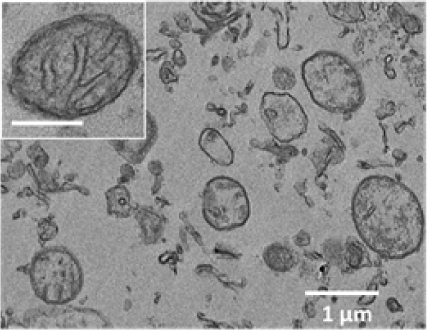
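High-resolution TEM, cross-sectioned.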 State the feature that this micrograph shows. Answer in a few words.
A: Intact inner and outer membranes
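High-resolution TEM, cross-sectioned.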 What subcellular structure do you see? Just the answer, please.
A: Mitochondria.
